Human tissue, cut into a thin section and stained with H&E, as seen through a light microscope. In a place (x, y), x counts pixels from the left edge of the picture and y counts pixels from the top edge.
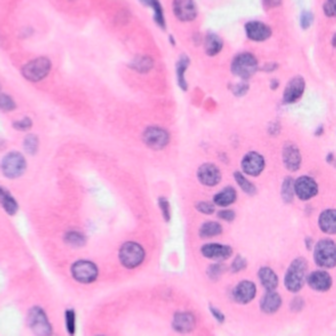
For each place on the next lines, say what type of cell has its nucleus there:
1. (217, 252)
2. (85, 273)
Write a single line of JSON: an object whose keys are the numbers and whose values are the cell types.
{"1": "collecting duct cell", "2": "proximal tubule cell"}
